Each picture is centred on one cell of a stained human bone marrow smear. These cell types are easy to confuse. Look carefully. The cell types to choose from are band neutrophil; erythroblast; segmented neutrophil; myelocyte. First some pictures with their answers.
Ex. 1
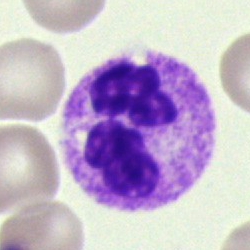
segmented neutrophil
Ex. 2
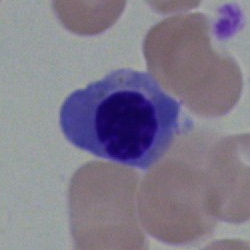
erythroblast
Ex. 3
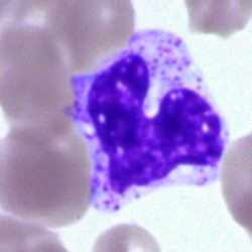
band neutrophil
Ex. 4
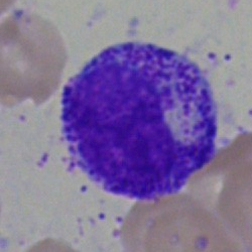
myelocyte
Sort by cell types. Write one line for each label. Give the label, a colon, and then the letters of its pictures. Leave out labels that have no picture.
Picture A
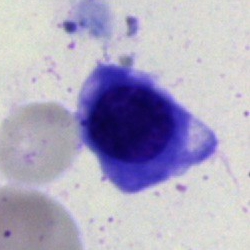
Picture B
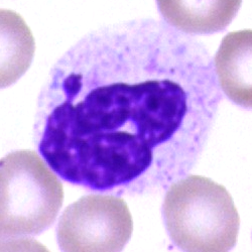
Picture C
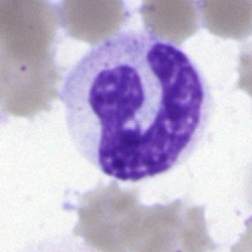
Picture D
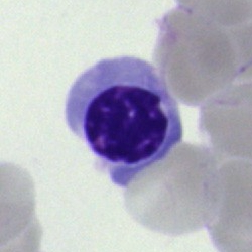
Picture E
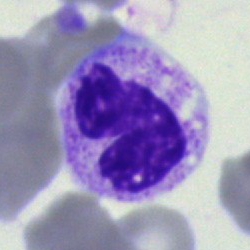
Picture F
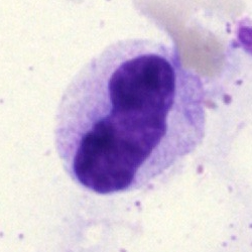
band neutrophil: C, E, F
erythroblast: A, D
segmented neutrophil: B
